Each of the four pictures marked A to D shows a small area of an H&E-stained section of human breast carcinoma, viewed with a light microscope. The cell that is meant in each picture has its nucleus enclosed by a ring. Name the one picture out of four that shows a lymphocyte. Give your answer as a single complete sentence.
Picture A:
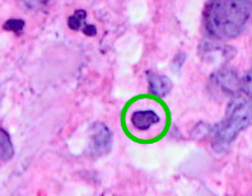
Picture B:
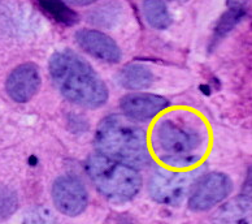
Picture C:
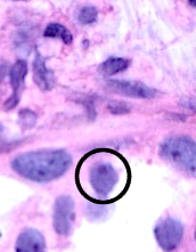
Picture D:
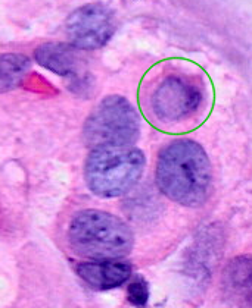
The lymphocyte is the one in picture A.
